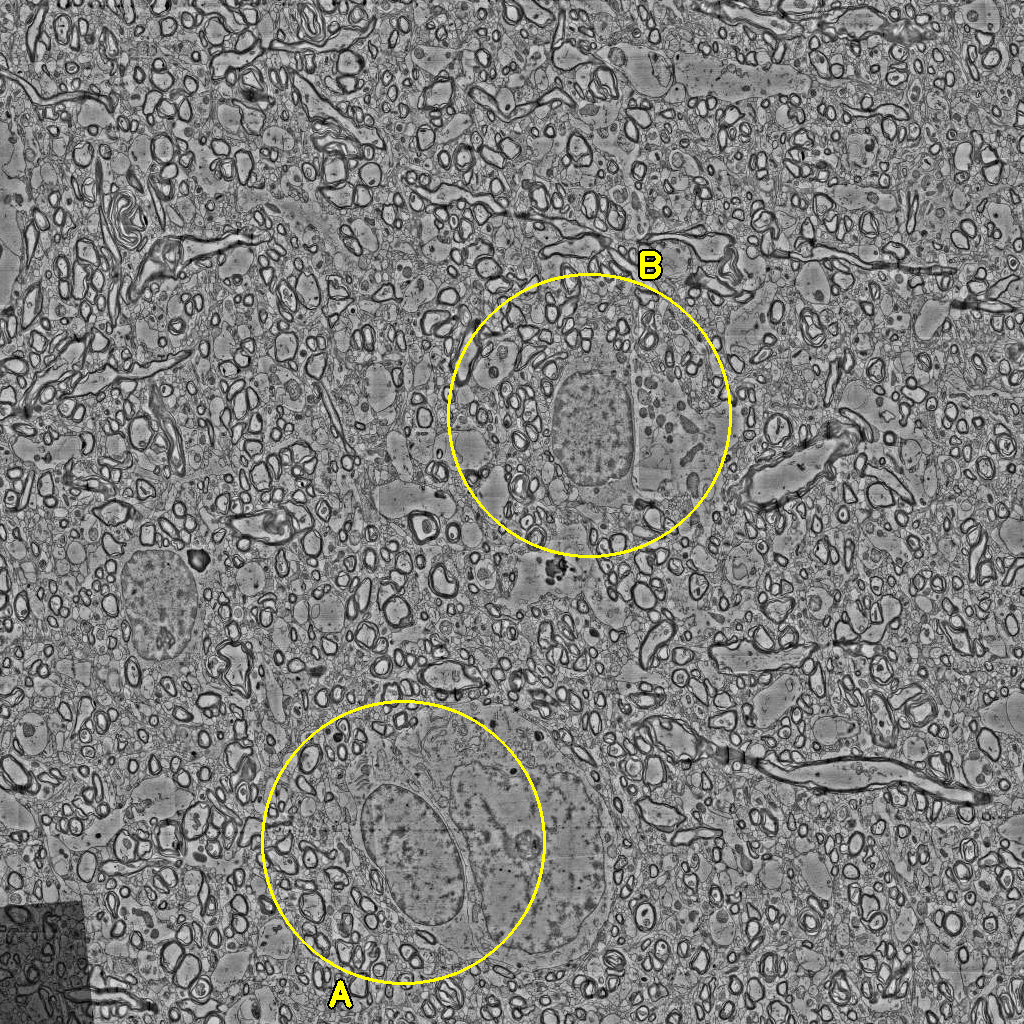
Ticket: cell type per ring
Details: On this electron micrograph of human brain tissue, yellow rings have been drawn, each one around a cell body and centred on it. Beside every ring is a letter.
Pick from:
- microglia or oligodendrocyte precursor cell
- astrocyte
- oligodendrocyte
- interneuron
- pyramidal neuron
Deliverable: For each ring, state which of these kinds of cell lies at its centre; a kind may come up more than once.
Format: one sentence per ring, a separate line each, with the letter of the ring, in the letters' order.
The cell body ringed as A belongs to a microglial cell or oligodendrocyte precursor cell.
The cell body ringed as B belongs to an oligodendrocyte.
